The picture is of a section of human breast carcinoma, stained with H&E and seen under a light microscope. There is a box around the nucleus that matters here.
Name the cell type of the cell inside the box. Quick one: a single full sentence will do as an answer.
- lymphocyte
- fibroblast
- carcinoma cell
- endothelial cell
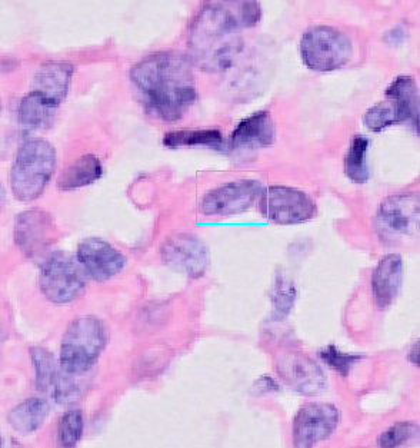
In this tissue sample, the cell inside the box is a carcinoma cell.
